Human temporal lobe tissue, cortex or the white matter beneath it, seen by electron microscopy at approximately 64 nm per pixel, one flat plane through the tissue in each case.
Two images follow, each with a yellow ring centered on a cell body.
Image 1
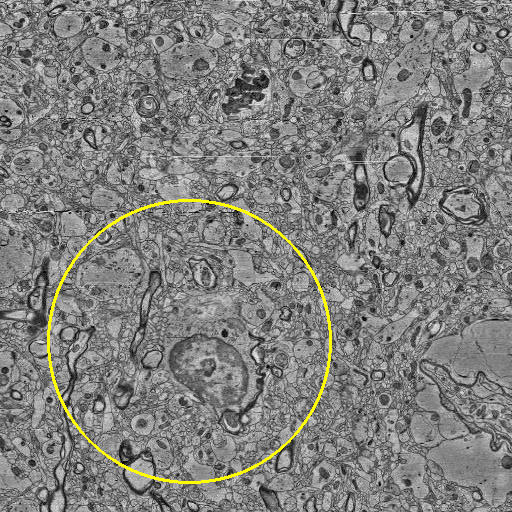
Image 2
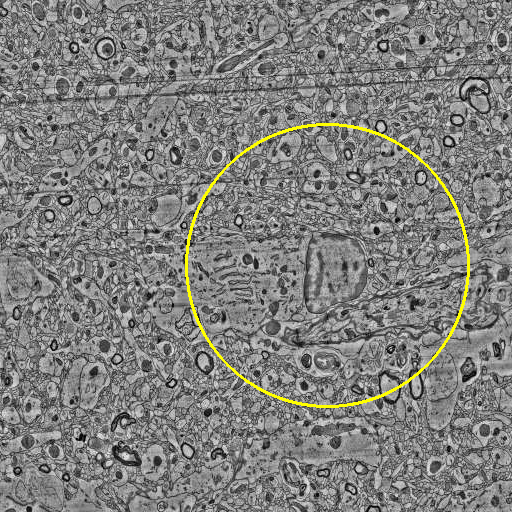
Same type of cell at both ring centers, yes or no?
no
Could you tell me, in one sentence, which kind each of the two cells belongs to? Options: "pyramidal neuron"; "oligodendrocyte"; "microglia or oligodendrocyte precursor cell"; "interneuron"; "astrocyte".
At the centre of the first ring sits an oligodendrocyte, and at the centre of the second sits a microglial cell or oligodendrocyte precursor cell.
